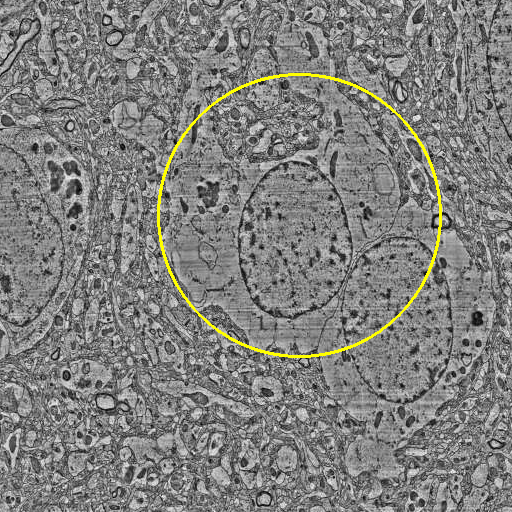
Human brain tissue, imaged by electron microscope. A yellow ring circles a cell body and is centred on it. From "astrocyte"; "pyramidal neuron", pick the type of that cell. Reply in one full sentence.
The cell body at the centre of the yellow ring belongs to an astrocyte.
